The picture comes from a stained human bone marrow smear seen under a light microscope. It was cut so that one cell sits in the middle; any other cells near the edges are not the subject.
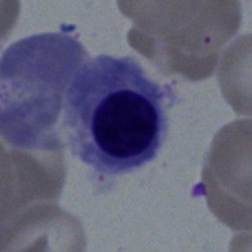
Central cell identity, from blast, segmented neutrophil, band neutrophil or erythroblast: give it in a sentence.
Regarding the central cell, it is an erythroblast.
